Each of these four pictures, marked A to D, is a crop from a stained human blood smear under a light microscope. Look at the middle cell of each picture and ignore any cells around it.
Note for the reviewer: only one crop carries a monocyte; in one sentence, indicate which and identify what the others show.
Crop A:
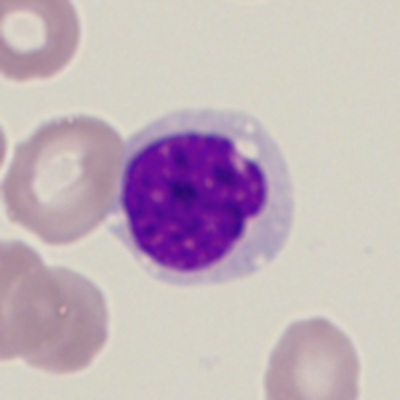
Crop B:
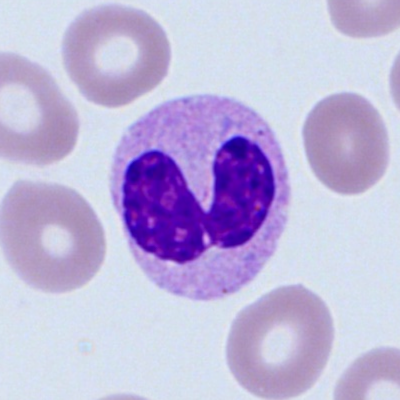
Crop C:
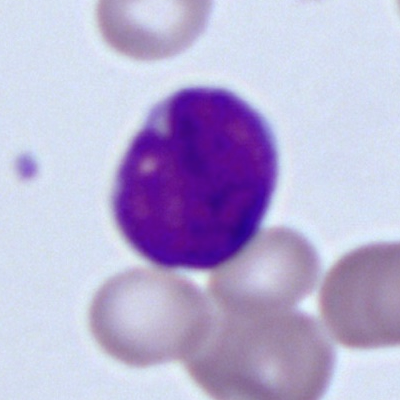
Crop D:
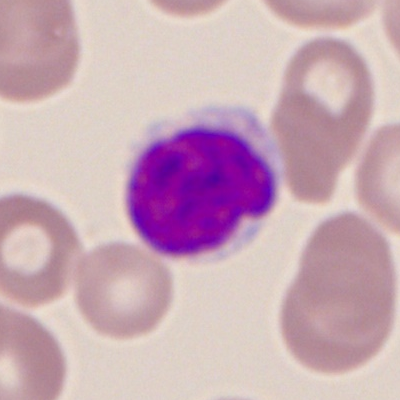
Crop A corresponds to a monocyte, while crop B is a segmented neutrophil, crop C is a myeloblast and crop D is a lymphocyte.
